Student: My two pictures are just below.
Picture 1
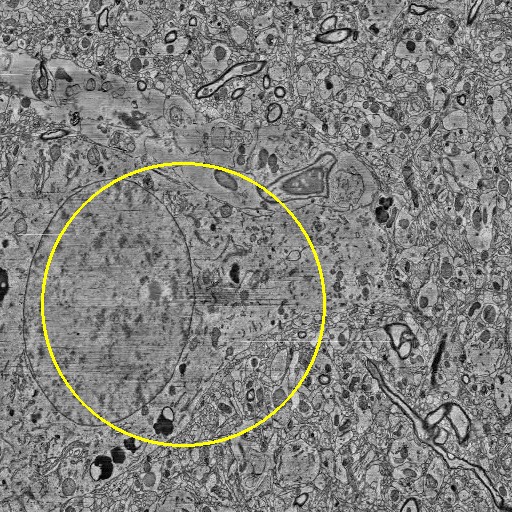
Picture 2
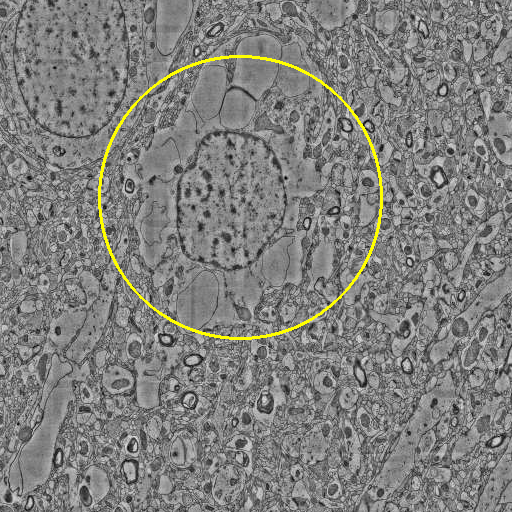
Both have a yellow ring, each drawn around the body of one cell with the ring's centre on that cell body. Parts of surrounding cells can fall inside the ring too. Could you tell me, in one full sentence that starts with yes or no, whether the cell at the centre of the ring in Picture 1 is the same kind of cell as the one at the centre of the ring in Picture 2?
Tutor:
No, the two cells are of two kinds.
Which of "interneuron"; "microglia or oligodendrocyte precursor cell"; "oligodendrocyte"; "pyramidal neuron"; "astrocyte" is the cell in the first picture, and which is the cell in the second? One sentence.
The two differ: the first cell is a pyramidal neuron and the second is an astrocyte.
